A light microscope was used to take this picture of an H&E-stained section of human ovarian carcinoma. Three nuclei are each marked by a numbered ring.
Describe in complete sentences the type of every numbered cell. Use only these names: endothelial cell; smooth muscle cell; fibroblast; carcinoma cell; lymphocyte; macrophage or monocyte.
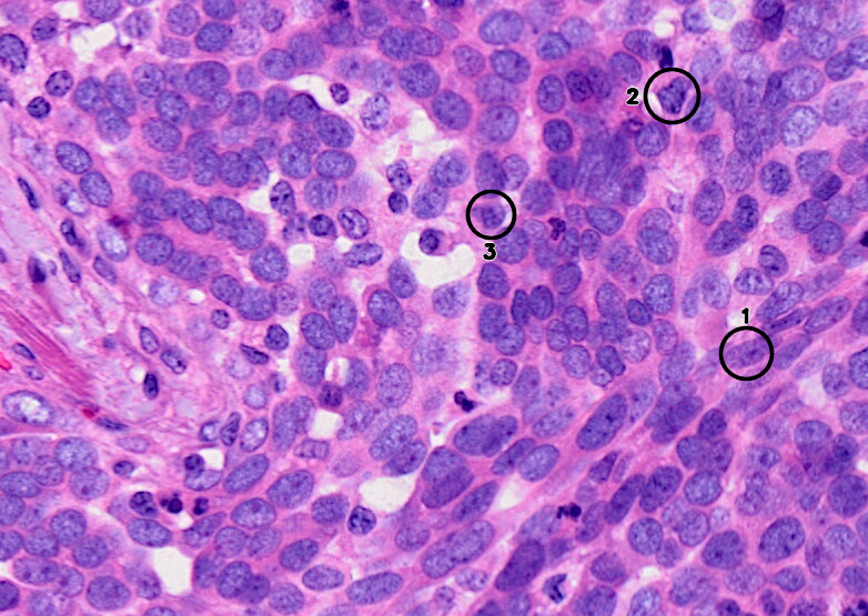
Cell 1 is a carcinoma cell, cell 2 is a macrophage or monocyte and cell 3 is a macrophage or monocyte.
